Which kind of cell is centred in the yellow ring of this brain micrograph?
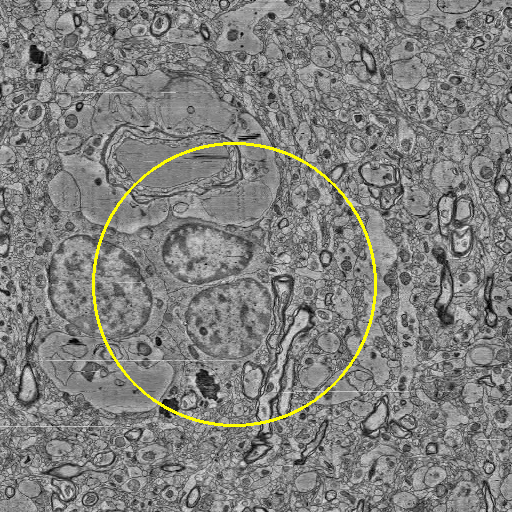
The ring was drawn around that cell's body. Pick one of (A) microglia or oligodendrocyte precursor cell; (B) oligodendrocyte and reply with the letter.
B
